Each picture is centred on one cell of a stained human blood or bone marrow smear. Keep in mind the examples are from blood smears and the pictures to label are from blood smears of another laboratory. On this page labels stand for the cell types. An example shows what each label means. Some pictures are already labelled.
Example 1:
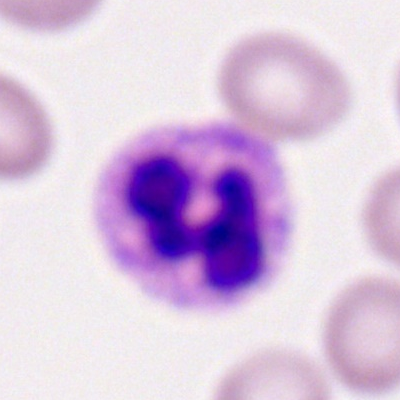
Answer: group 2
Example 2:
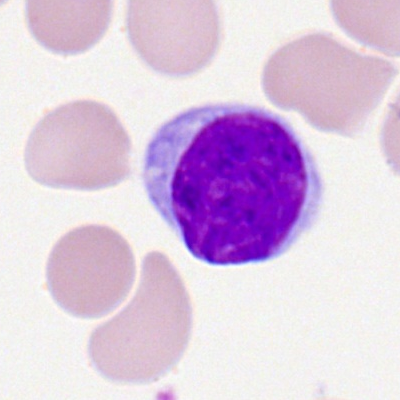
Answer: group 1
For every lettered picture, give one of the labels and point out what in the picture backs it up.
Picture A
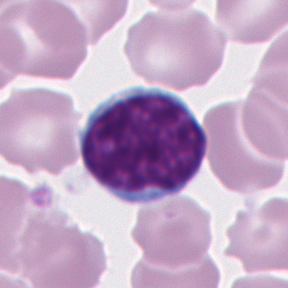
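Answer: group 1. The nucleus fills almost the whole cell.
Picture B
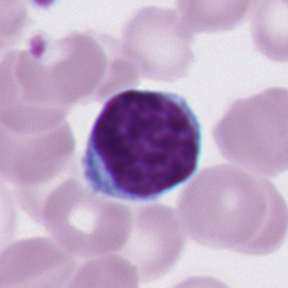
Answer: group 1. The cytoplasm is a narrow rim that is widest at the lower left.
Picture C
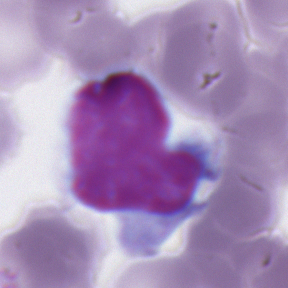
Answer: group 1. The cytoplasm is scant compared with the large nucleus.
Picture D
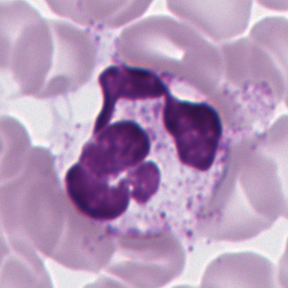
Answer: group 2. The nucleus is divided into several separate lobes.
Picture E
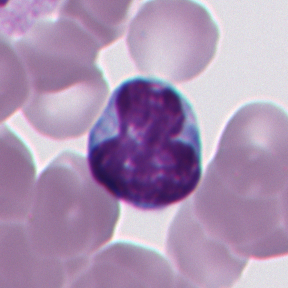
Answer: group 1. The nucleus fills most of the cell.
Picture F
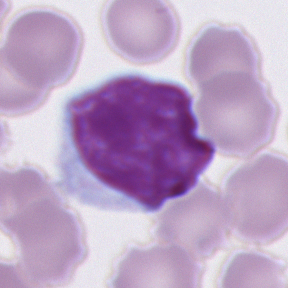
Answer: group 1. The cytoplasm forms a narrow crescent that is widest at the lower left of the cell.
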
